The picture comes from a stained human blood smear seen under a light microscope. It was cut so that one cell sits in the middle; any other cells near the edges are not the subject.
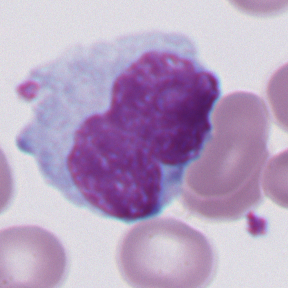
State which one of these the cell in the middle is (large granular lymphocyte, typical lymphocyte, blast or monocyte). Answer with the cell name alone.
monocyte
